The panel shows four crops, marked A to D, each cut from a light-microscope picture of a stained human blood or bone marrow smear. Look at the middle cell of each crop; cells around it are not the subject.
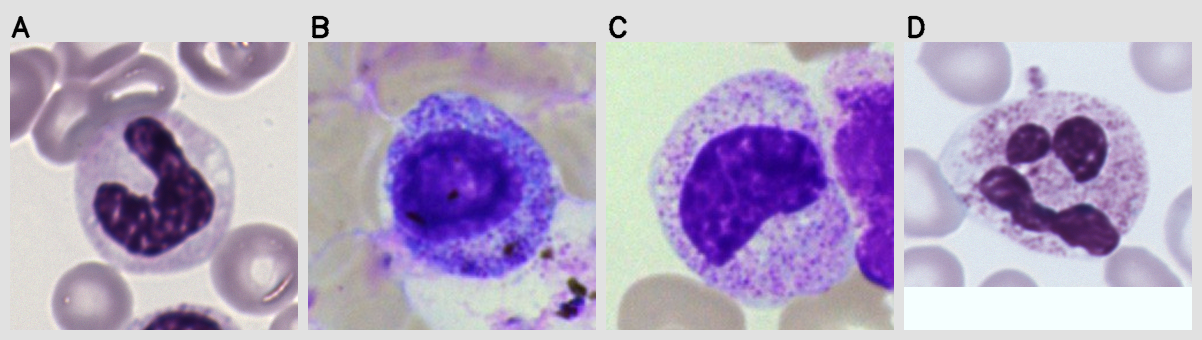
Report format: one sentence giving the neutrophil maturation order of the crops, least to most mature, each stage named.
Least mature first and most mature last, the order is crop B (a myelocyte), crop C (a metamyelocyte), crop A (a band neutrophil) and crop D (a segmented neutrophil).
